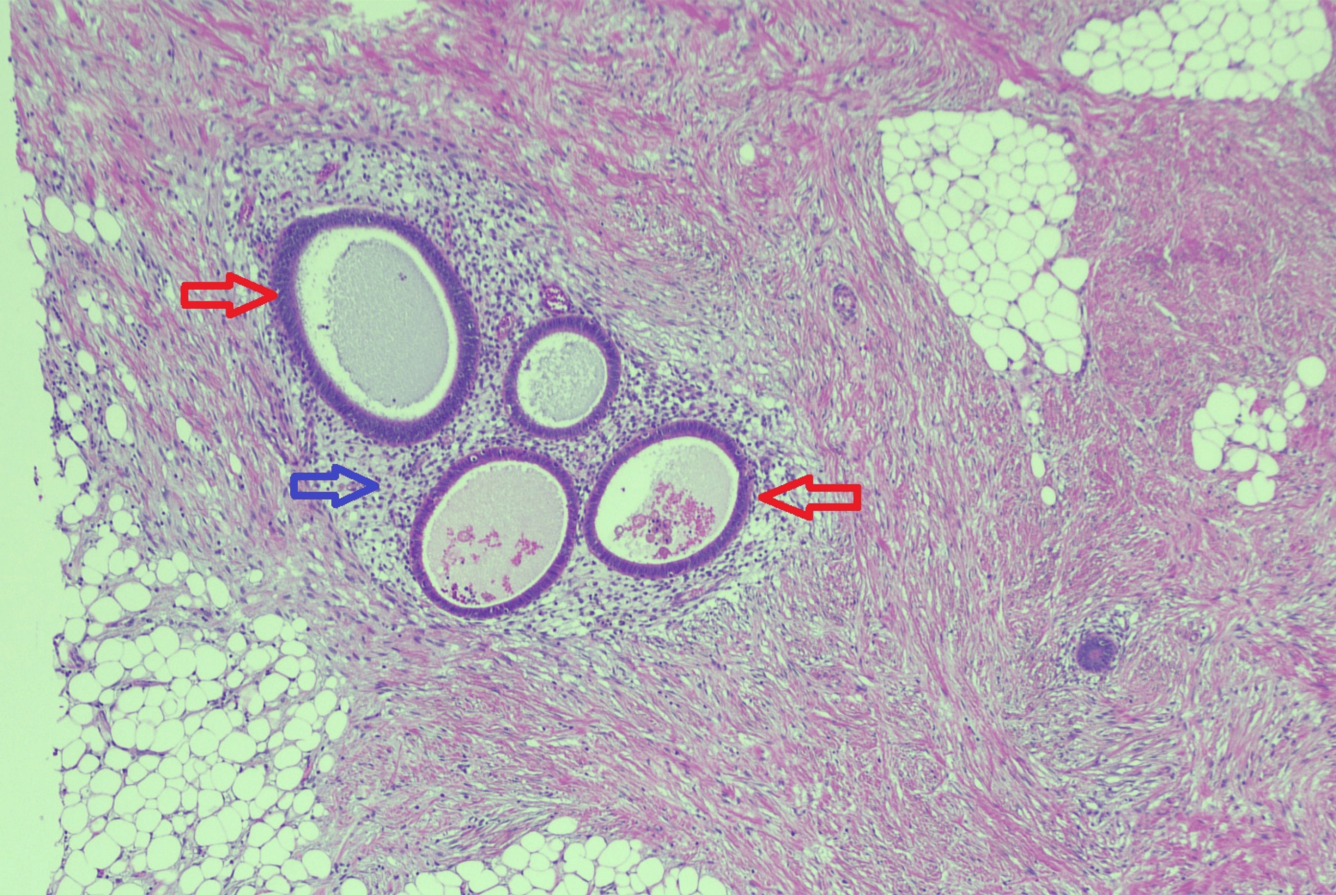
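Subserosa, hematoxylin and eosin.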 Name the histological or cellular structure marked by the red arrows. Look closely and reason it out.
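Round to oval glandular spaces lined by a single row of columnar epithelium with crowded dark purple nuclei. Gland lumens hold pale pink fluid, some with scattered red blood cells. The glands sit together in a small cluster surrounded by a cellular cuff.
Conclusion: endometrial glands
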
